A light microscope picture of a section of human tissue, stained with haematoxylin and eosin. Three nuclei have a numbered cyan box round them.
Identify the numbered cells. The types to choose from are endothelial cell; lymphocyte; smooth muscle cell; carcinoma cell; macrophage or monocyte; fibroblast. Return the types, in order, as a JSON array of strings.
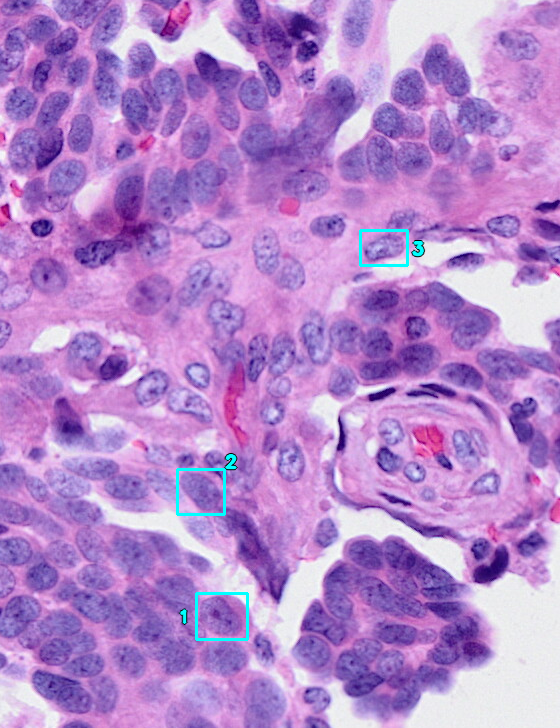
["carcinoma cell", "carcinoma cell", "fibroblast"]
